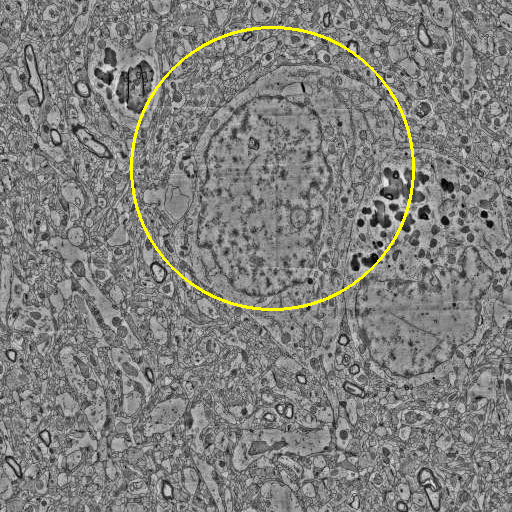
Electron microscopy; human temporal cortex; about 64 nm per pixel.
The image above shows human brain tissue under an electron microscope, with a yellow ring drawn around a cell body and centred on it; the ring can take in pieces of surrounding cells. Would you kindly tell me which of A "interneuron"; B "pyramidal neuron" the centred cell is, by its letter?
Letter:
A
